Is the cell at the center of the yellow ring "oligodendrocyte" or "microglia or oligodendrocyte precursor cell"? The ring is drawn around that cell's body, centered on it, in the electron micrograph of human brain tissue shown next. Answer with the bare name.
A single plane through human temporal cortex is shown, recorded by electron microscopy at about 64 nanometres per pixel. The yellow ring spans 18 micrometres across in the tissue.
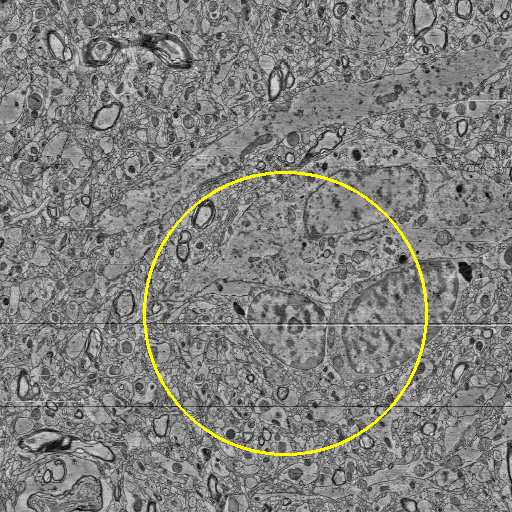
microglia or oligodendrocyte precursor cell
